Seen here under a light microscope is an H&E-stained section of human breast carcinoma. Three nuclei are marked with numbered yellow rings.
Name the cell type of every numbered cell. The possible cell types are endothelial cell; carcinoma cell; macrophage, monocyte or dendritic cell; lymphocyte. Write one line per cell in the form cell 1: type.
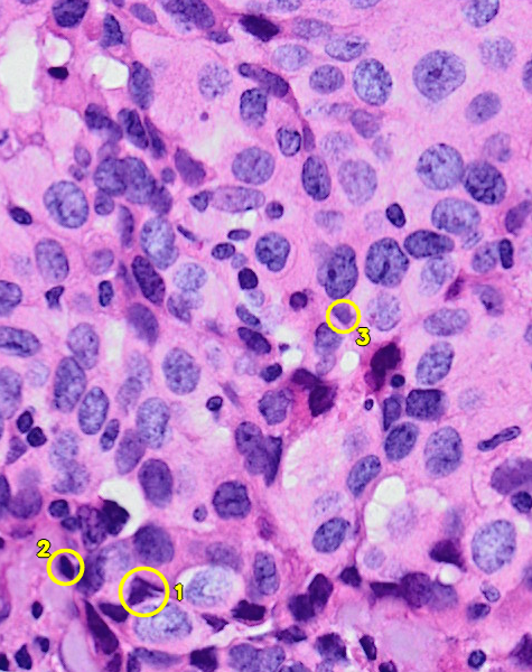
cell 1: carcinoma cell
cell 2: lymphocyte
cell 3: carcinoma cell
